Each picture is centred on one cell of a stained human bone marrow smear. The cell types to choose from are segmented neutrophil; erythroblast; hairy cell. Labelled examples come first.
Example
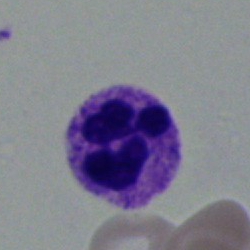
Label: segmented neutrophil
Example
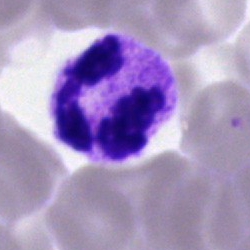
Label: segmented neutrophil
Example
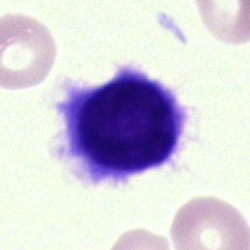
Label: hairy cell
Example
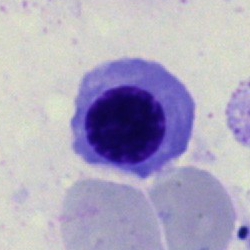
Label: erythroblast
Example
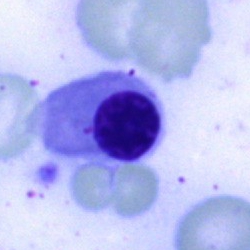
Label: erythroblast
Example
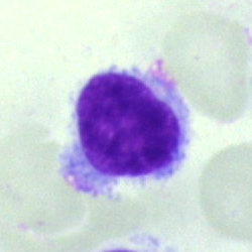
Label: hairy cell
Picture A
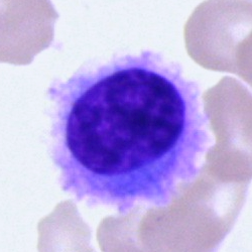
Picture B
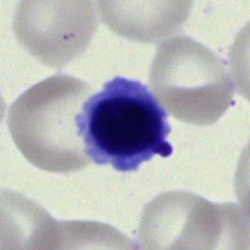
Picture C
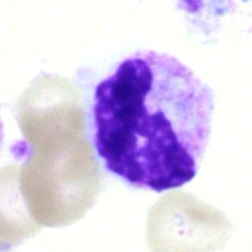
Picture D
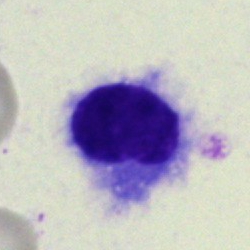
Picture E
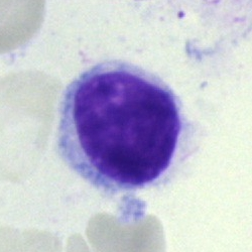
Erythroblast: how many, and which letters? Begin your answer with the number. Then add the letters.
Count: 1 (B)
